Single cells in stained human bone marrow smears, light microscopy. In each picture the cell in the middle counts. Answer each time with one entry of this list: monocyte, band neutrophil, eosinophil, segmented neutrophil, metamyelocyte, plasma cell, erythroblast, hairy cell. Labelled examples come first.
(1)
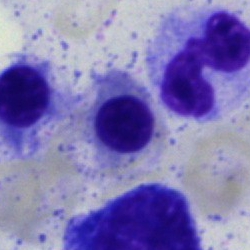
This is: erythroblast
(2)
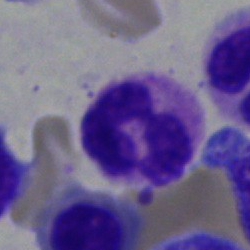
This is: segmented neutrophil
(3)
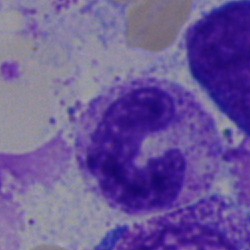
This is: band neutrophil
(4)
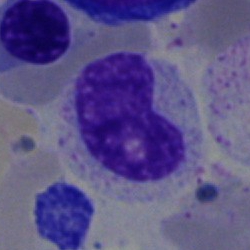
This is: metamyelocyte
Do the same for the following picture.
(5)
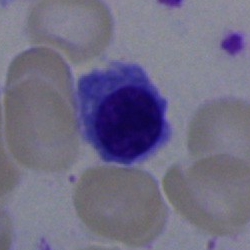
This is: erythroblast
